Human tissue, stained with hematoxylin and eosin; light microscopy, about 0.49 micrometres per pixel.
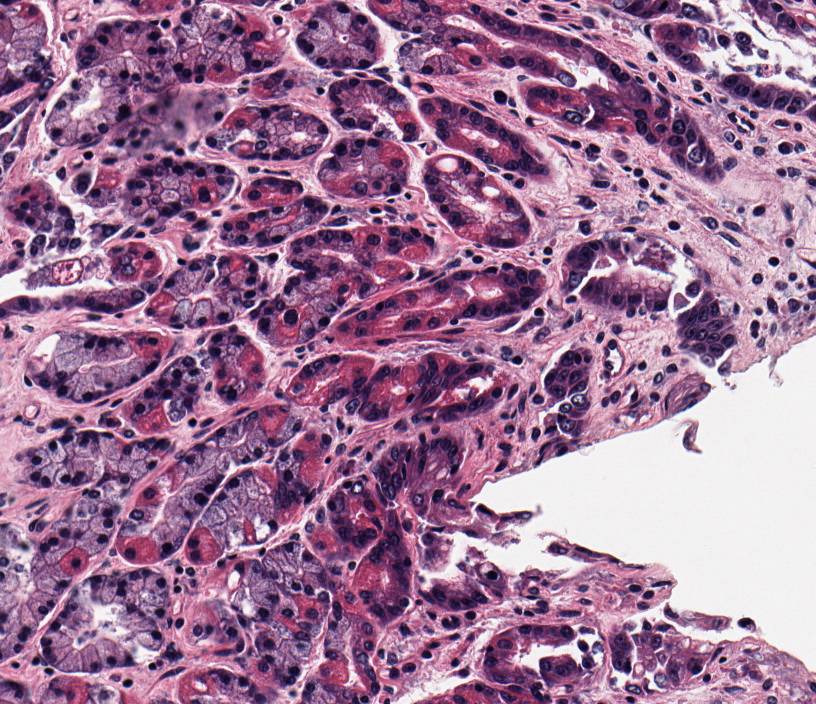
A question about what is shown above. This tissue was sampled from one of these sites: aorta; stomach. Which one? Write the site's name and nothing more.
stomach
